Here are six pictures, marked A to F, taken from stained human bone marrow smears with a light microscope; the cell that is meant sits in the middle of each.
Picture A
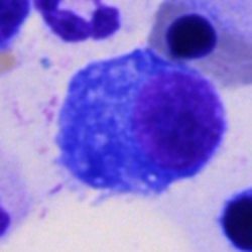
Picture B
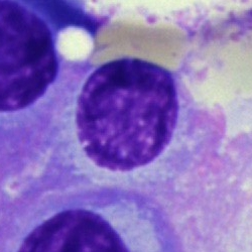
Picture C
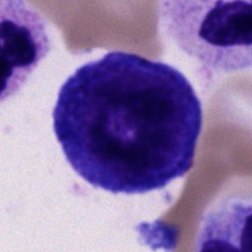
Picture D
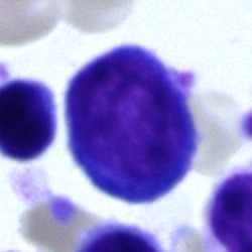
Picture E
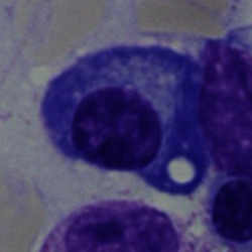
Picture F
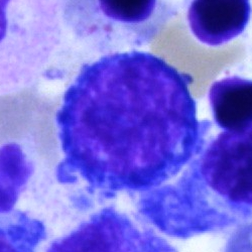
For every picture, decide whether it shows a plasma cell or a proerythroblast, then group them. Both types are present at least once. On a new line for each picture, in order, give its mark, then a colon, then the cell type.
A: plasma cell
B: plasma cell
C: proerythroblast
D: proerythroblast
E: plasma cell
F: proerythroblast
